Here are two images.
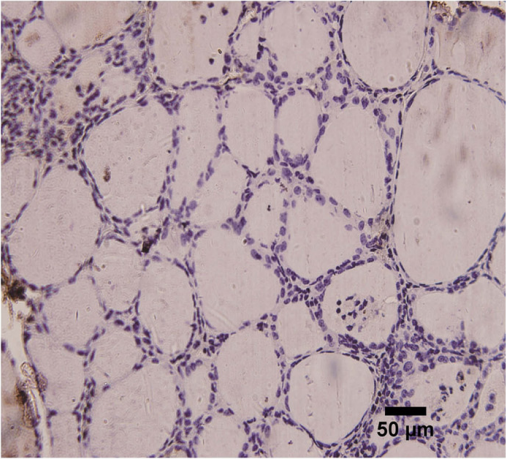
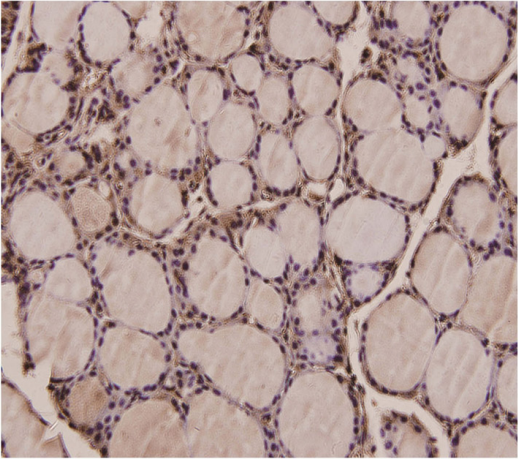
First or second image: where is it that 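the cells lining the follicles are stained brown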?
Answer: The second image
